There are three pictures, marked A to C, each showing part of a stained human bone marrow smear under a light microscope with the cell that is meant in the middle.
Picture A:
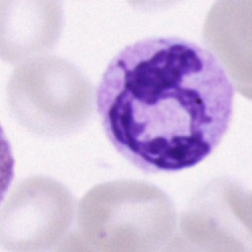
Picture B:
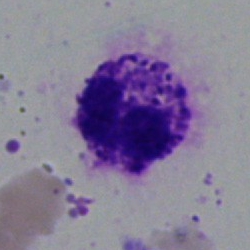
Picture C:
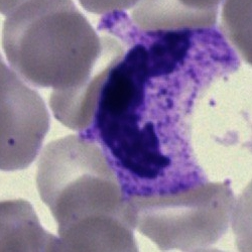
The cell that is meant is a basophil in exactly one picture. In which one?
B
